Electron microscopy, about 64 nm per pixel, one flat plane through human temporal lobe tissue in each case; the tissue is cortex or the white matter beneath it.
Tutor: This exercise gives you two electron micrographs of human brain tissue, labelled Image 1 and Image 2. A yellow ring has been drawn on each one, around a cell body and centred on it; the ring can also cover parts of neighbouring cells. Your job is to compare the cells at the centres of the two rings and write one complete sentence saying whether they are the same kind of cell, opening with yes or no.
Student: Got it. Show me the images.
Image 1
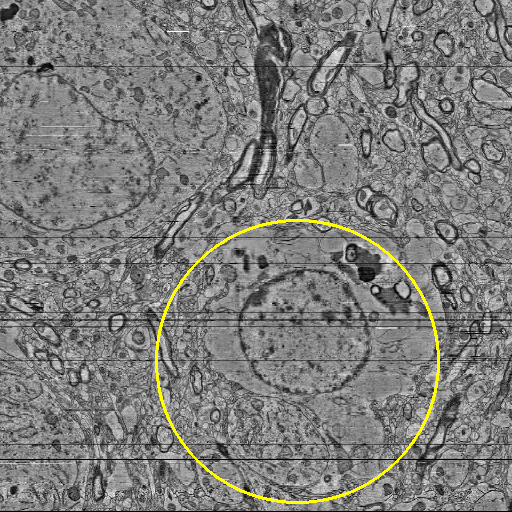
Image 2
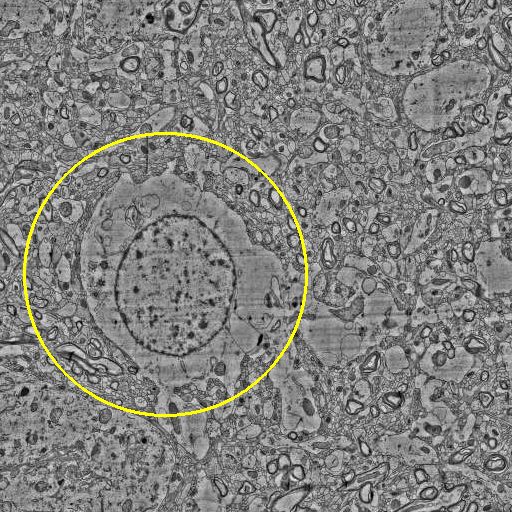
Yes, the two cells belong to the same kind.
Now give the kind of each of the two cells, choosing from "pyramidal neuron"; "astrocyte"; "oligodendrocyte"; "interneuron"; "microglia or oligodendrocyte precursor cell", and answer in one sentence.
The cell in the first picture is an astrocyte, and so is the one in the second.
